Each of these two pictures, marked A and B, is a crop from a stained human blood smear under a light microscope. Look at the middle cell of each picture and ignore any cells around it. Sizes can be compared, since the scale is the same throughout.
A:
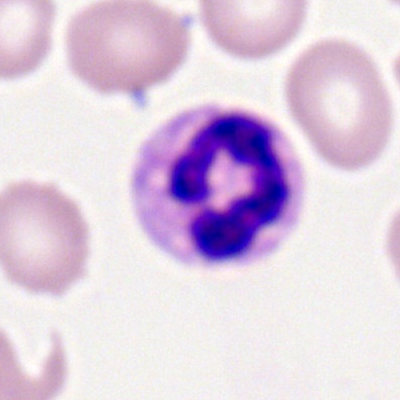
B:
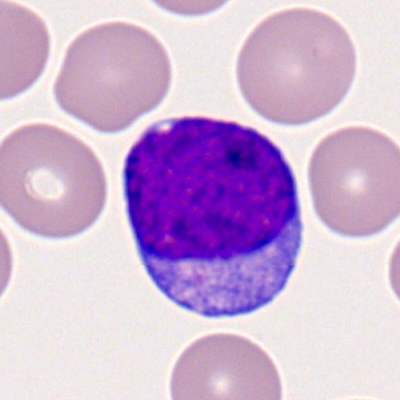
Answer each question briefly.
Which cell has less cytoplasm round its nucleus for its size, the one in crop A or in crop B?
B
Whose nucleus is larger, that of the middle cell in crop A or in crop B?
B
